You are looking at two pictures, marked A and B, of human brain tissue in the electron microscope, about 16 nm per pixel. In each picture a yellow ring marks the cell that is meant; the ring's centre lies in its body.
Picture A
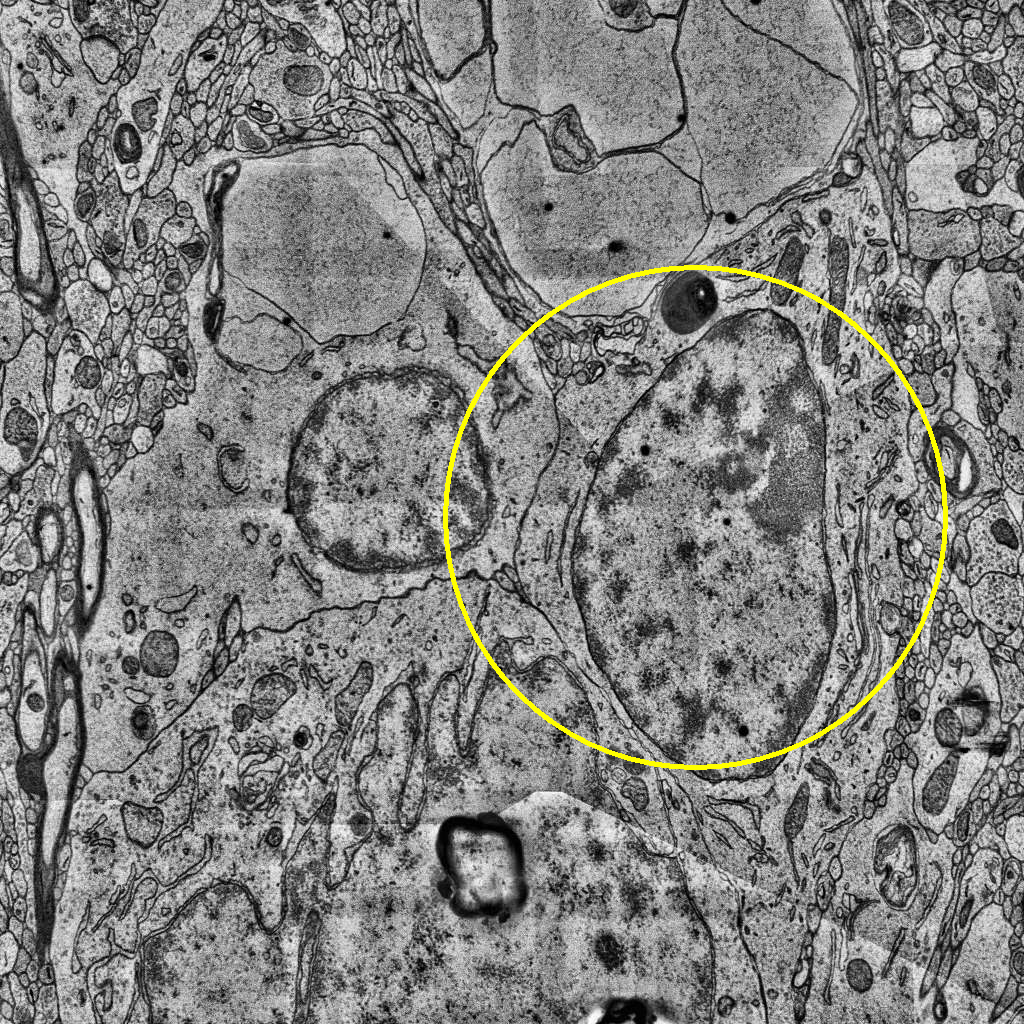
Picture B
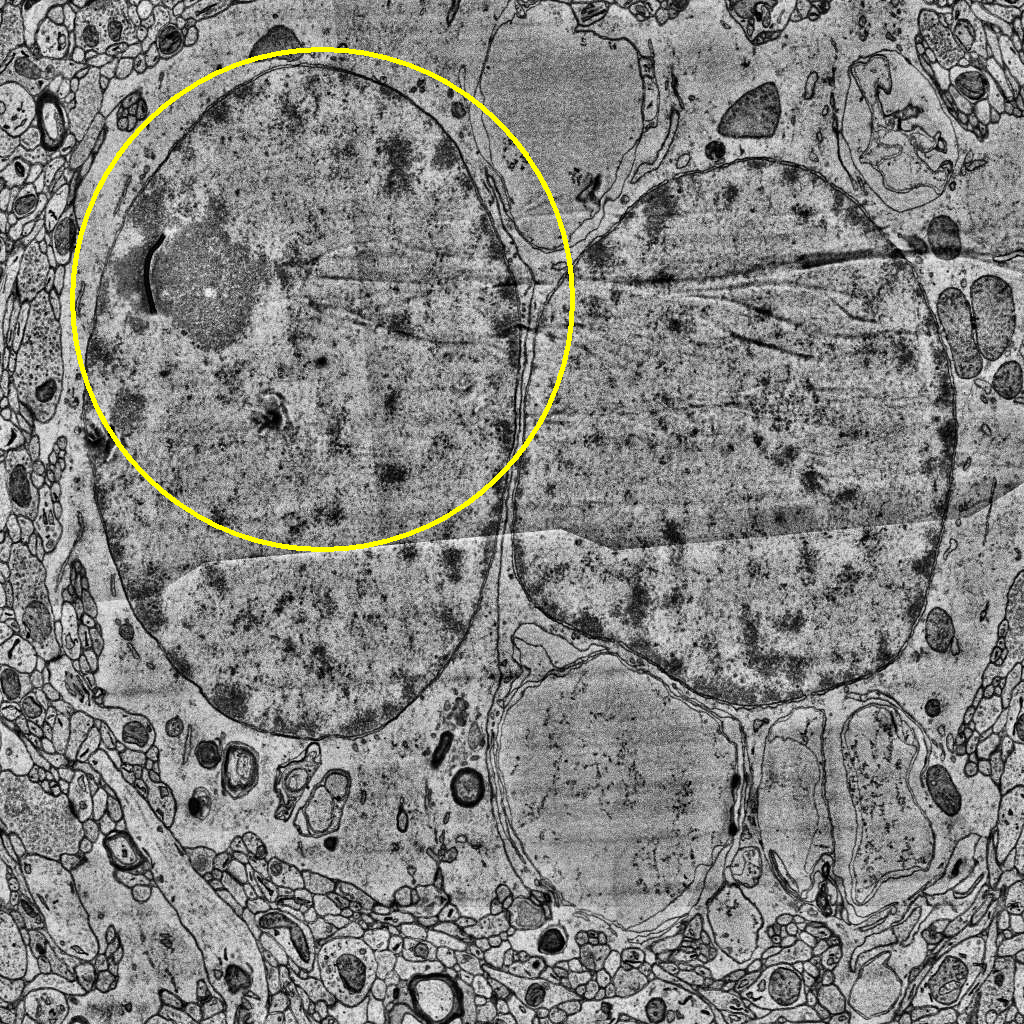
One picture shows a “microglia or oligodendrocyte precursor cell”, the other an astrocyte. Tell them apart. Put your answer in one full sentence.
Picture A shows a “microglia or oligodendrocyte precursor cell” and picture B shows an astrocyte.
